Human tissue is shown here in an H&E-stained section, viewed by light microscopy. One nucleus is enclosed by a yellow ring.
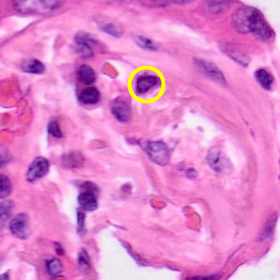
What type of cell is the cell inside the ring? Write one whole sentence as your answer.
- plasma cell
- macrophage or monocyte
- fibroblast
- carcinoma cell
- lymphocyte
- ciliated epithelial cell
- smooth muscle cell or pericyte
The cell inside the ring appears to be a plasma cell.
